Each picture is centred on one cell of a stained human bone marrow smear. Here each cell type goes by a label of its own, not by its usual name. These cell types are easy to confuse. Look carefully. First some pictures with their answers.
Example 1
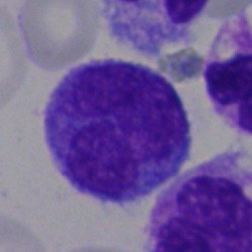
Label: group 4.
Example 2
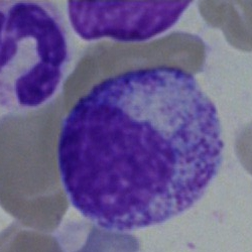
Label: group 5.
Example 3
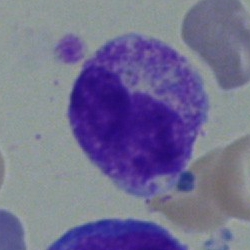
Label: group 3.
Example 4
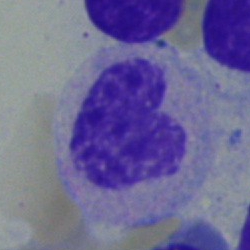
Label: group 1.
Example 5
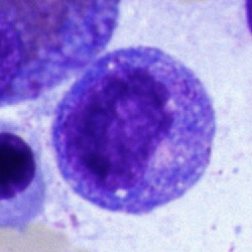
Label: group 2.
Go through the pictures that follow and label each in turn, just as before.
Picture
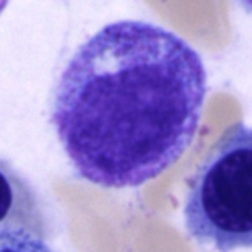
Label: group 2.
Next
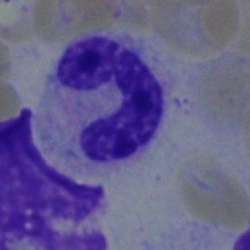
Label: group 1.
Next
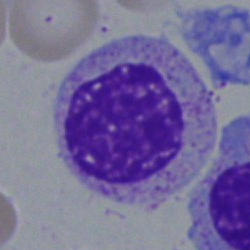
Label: group 5.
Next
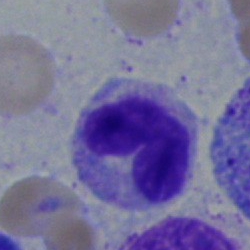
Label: group 1.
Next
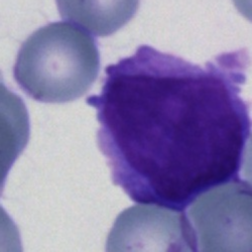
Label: group 4.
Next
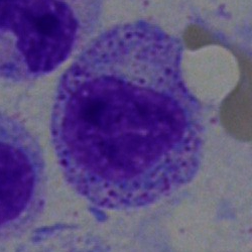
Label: group 5.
